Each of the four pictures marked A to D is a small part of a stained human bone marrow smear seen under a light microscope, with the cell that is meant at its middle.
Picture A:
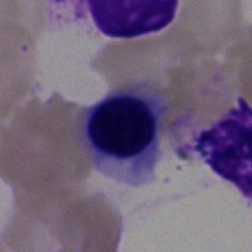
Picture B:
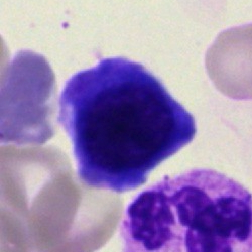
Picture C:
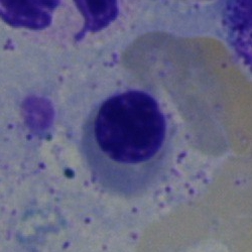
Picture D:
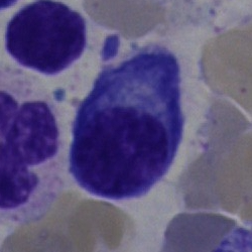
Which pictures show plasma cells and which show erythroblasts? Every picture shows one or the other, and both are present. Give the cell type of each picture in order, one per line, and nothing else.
erythroblast
erythroblast
erythroblast
plasma cell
